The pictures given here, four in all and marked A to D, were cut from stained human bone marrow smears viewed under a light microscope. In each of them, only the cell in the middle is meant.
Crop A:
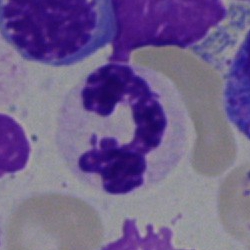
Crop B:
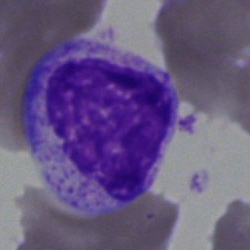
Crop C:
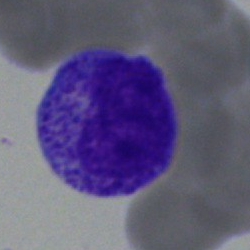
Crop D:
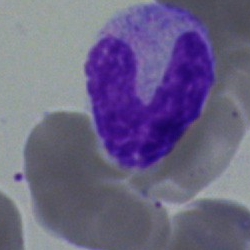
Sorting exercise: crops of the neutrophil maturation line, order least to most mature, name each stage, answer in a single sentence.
The maturity ranking, beginning with the least mature, is crop C (a promyelocyte), crop B (a myelocyte), crop D (a band neutrophil) and crop A (a segmented neutrophil).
